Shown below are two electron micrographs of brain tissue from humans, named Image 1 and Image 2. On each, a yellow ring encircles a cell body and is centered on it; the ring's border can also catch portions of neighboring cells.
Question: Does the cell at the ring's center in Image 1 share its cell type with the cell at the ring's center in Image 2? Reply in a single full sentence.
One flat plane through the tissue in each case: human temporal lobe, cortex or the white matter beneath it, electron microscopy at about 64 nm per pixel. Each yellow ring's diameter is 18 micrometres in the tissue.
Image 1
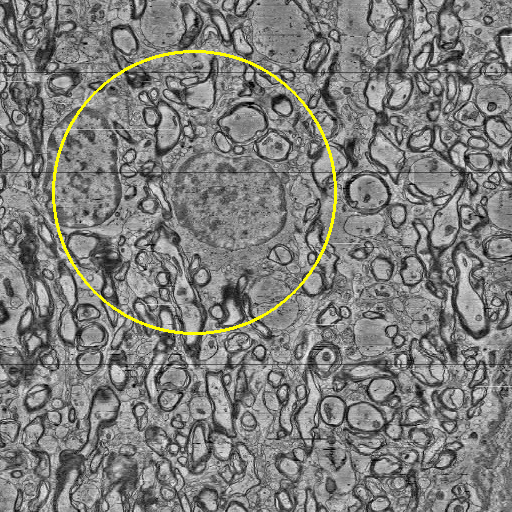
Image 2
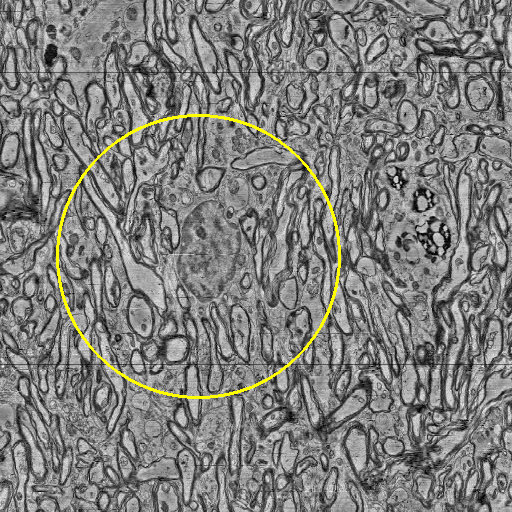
Yes, the two cells at the ring centers, in Image 1 and Image 2, share one cell type.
